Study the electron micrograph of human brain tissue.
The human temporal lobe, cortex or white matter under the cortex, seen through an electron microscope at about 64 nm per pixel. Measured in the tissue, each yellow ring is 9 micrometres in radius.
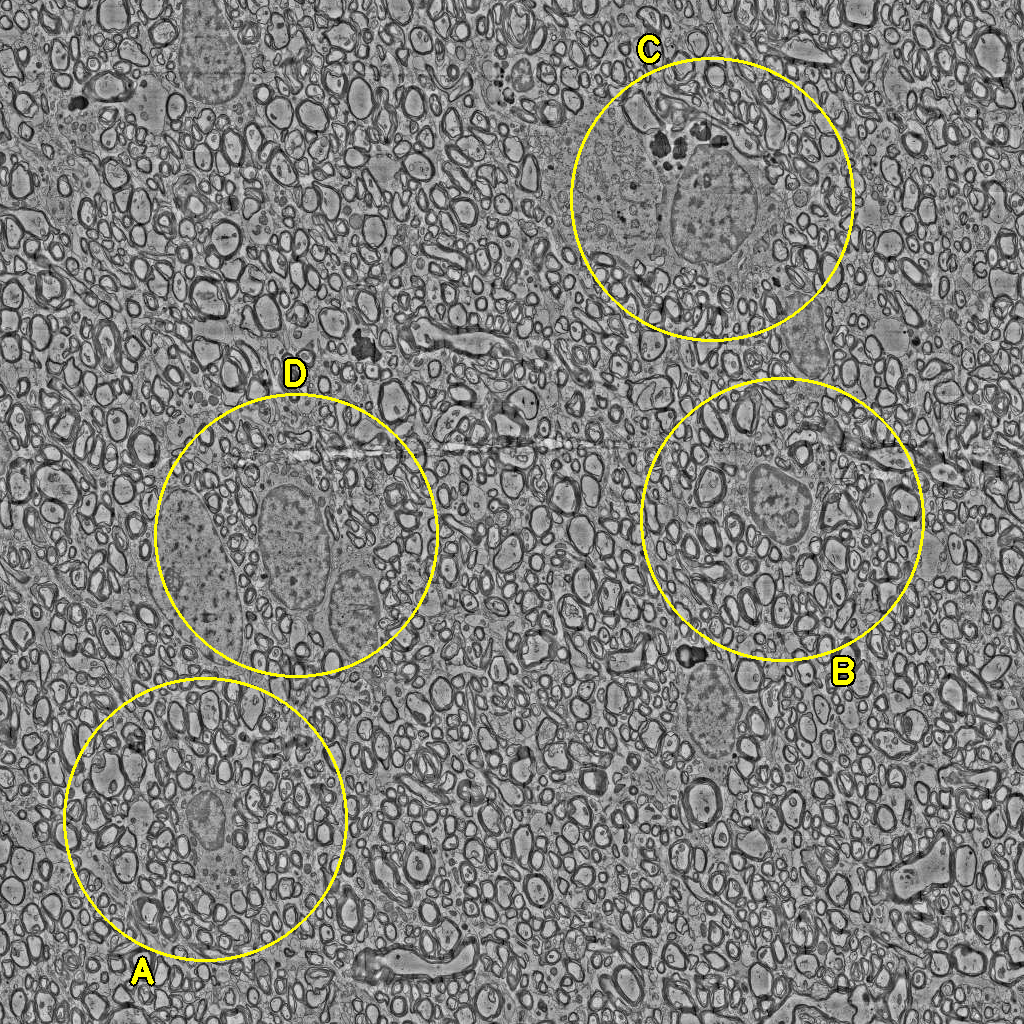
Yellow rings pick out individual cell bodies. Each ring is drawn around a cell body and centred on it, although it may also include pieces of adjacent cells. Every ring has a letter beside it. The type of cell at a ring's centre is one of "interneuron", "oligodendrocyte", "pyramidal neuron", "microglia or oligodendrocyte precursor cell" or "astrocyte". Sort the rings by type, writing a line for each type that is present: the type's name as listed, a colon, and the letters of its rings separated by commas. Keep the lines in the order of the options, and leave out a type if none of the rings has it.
oligodendrocyte: A, C, D
microglia or oligodendrocyte precursor cell: B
